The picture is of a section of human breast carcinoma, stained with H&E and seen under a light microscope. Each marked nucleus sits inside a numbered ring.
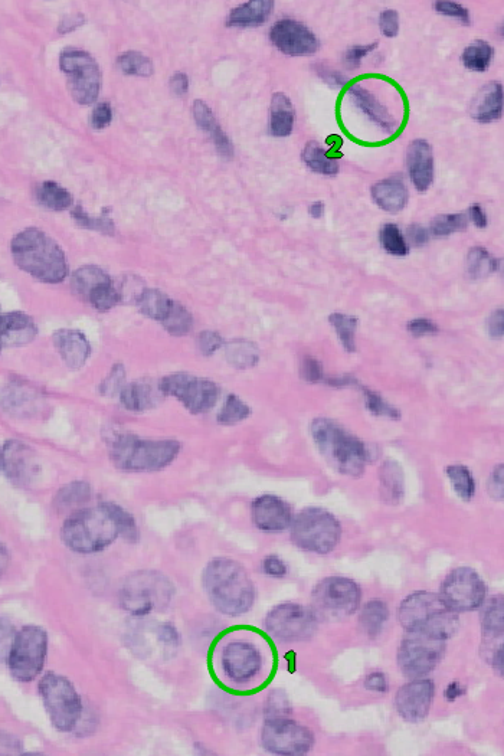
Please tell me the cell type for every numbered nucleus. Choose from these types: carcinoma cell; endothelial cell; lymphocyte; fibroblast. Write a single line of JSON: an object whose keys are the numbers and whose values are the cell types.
{"1": "carcinoma cell", "2": "endothelial cell"}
